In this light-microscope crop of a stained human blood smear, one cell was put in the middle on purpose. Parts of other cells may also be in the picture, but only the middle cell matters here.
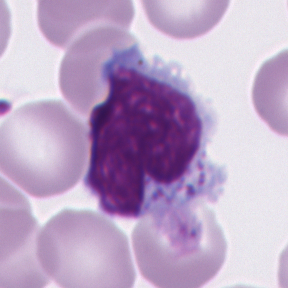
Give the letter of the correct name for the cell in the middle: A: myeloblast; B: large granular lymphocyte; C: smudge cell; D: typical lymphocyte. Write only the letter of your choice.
B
